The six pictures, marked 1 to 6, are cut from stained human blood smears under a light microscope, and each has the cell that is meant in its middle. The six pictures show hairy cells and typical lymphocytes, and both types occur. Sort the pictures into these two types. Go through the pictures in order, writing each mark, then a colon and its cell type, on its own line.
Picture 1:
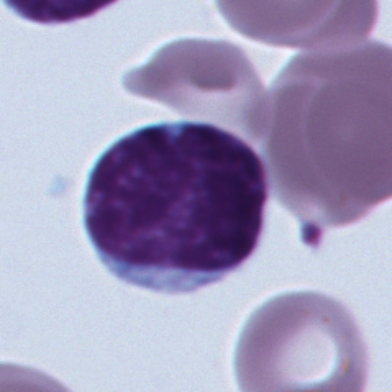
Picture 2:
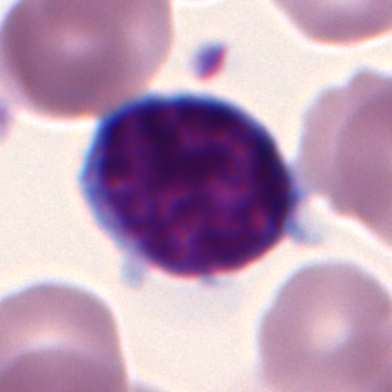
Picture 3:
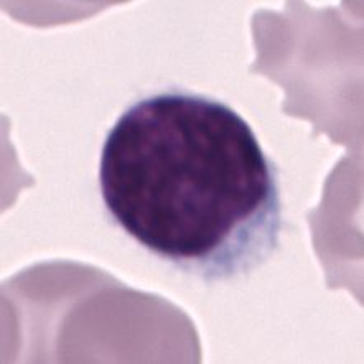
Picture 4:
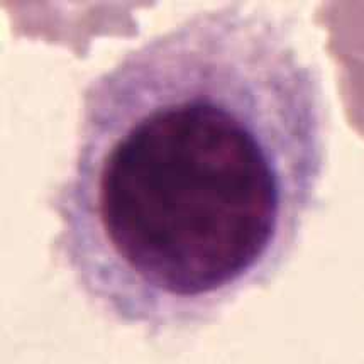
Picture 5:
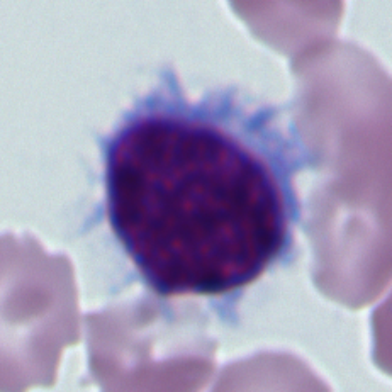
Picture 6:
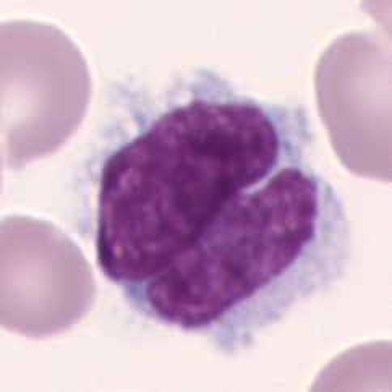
1: typical lymphocyte
2: typical lymphocyte
3: hairy cell
4: hairy cell
5: hairy cell
6: hairy cell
